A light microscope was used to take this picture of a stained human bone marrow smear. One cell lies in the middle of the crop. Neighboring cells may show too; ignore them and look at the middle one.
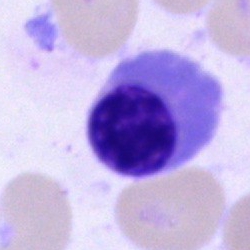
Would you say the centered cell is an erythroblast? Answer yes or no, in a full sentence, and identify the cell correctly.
Yes, in this crop the cell in the middle is an erythroblast.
